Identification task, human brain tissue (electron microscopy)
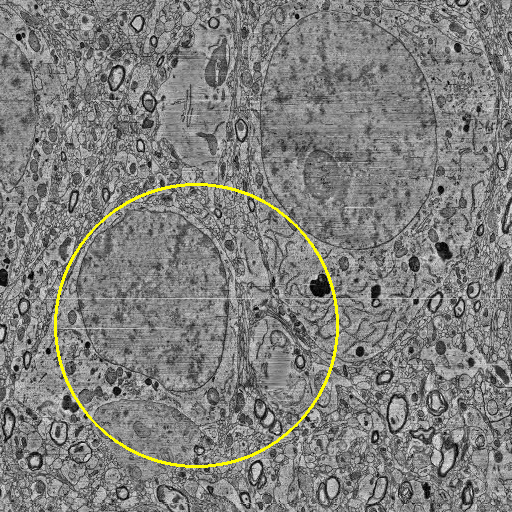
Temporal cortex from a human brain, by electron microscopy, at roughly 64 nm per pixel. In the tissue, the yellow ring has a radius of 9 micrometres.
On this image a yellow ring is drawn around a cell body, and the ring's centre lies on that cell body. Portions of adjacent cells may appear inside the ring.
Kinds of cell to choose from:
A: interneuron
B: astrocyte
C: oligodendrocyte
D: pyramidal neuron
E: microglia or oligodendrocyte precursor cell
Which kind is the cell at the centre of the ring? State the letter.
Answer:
D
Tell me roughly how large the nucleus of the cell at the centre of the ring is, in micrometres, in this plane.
Approximately 13 x 10 micrometres in this plane.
